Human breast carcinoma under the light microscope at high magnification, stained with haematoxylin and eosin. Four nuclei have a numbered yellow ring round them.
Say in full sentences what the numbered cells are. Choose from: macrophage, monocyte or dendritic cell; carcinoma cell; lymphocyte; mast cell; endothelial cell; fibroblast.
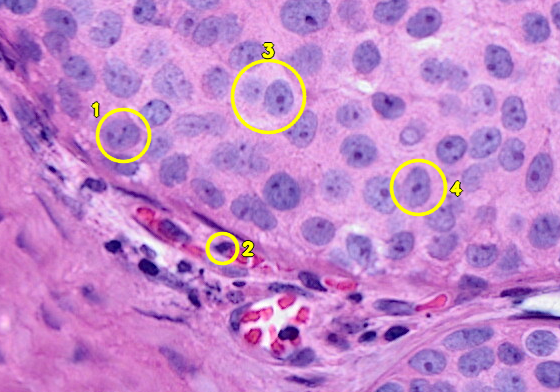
Cells 1, 3 and 4 are carcinoma cells. Cell 2 is an endothelial cell.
